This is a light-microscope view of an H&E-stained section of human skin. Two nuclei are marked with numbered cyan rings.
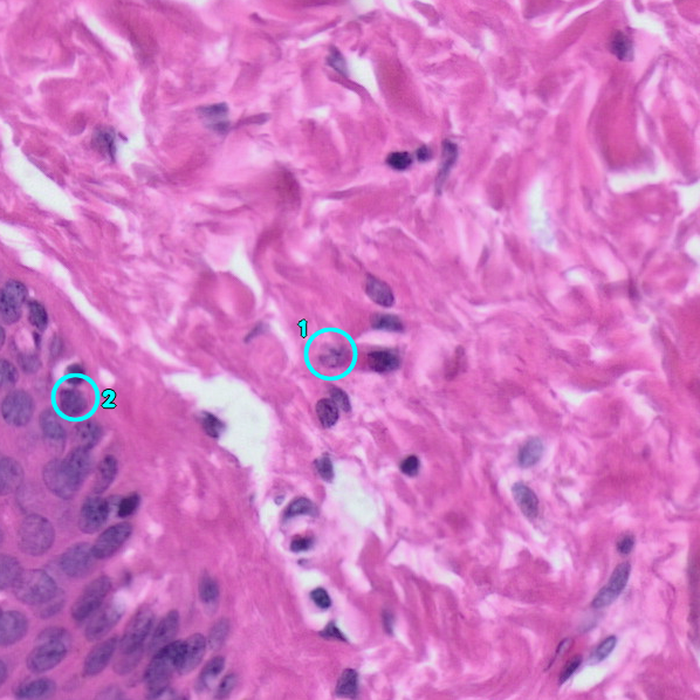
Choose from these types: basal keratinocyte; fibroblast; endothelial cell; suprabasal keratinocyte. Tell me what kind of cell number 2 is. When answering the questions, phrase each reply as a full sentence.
The cell that carries the label 2 is a basal keratinocyte.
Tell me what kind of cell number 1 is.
Within this field of view, the cell labelled 1 is an endothelial cell.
